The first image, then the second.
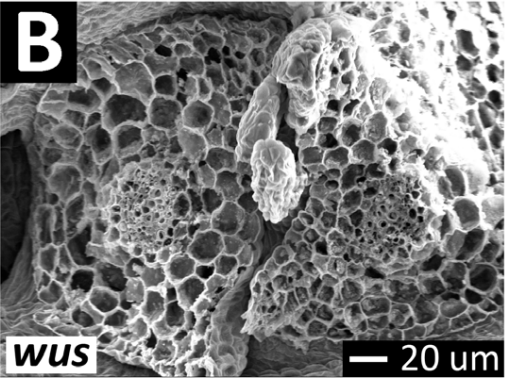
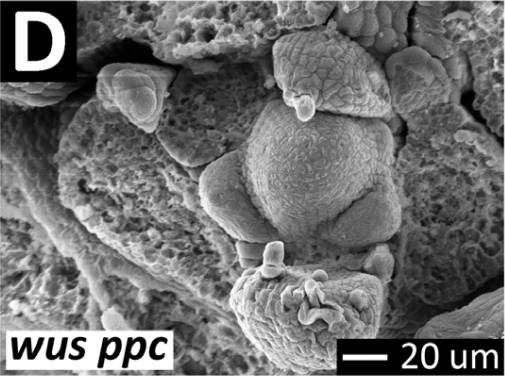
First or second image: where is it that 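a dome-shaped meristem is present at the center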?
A: The second image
